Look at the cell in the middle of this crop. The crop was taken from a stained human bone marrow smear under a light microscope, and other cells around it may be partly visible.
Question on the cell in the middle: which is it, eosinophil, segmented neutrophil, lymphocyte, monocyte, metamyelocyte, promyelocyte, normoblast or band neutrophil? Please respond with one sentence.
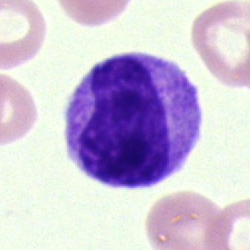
The middle of this crop holds a metamyelocyte.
